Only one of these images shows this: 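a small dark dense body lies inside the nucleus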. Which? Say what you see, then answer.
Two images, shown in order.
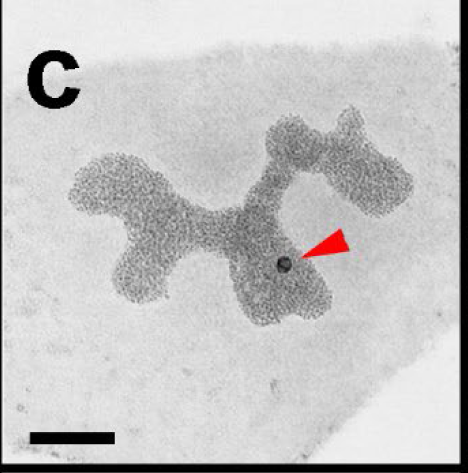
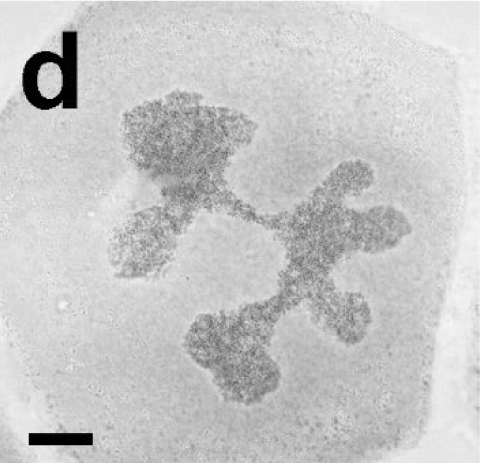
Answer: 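Second image: the branched nucleus is evenly granular without a dark body. First image: a small round dark body stands out within the branched nucleus.
Hence: the first image.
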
